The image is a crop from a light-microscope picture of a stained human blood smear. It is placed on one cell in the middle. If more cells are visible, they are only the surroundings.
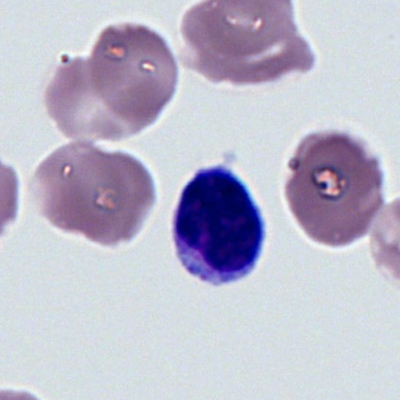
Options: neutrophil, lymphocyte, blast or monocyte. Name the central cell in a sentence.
The crop shows a lymphocyte in its centre.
